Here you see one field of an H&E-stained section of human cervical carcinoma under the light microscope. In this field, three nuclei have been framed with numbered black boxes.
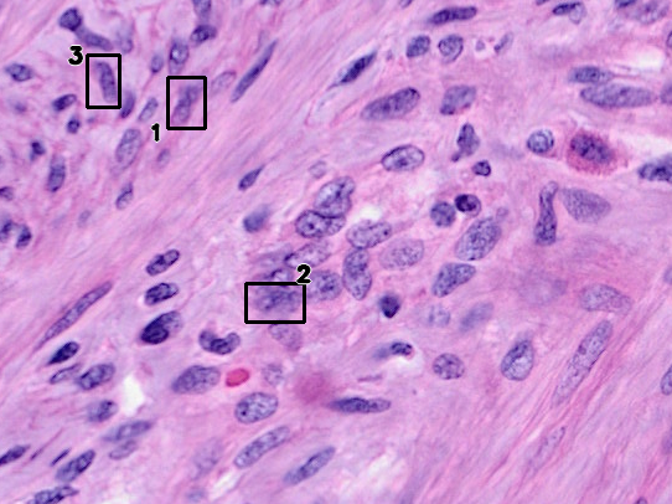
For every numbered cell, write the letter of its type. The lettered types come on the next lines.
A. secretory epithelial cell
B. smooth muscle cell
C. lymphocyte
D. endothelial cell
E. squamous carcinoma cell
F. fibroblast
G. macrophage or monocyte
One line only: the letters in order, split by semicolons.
B; D; B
